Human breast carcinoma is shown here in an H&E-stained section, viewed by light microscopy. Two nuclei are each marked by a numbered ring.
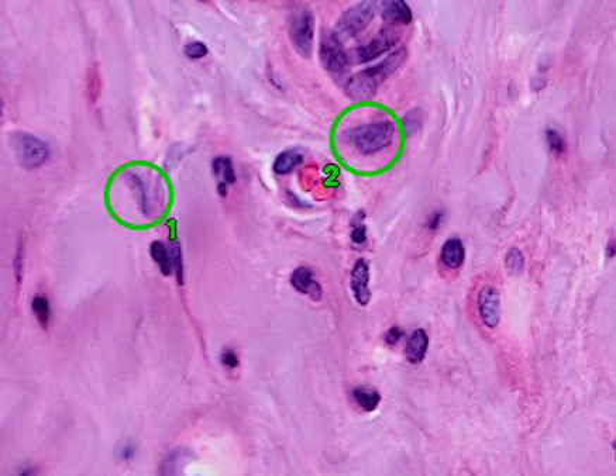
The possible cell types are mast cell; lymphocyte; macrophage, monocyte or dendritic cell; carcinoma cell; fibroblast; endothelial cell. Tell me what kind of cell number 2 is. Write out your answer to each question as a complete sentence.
The cell numbered 2 represents an endothelial cell.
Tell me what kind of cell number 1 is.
Cell 1 in the field is a fibroblast.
